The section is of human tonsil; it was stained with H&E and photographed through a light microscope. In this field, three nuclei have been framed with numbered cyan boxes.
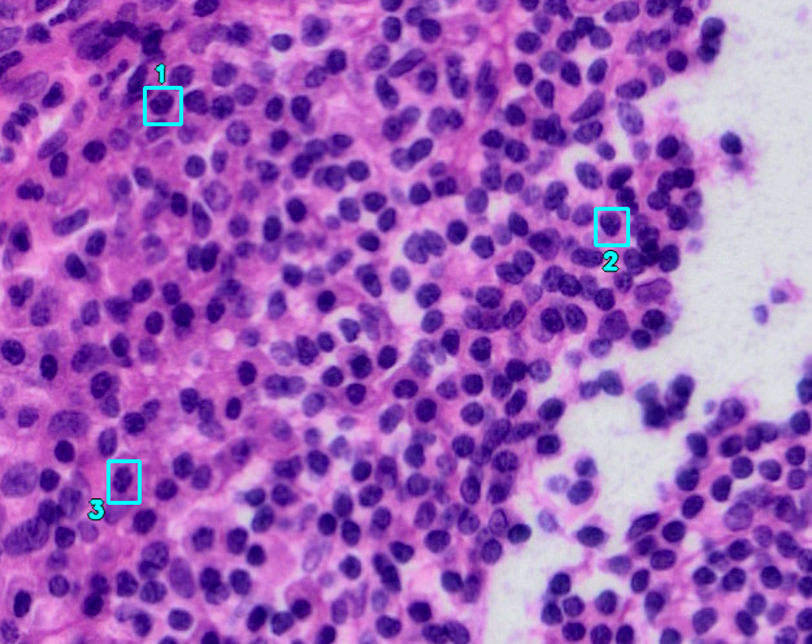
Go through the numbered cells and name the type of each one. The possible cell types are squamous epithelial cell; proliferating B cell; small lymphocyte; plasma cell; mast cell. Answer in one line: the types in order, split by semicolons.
plasma cell; small lymphocyte; plasma cell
